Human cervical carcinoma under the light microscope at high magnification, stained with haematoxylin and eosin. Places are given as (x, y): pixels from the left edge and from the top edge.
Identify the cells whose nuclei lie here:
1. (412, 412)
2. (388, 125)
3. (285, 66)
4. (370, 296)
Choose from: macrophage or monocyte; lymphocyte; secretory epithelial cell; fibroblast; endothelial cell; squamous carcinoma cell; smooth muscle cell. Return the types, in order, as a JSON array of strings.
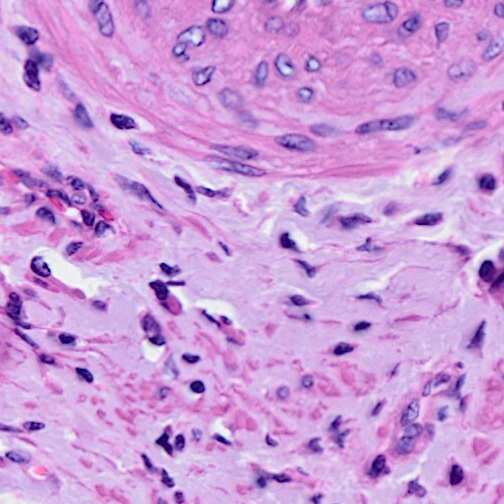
["endothelial cell", "smooth muscle cell", "smooth muscle cell", "fibroblast"]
